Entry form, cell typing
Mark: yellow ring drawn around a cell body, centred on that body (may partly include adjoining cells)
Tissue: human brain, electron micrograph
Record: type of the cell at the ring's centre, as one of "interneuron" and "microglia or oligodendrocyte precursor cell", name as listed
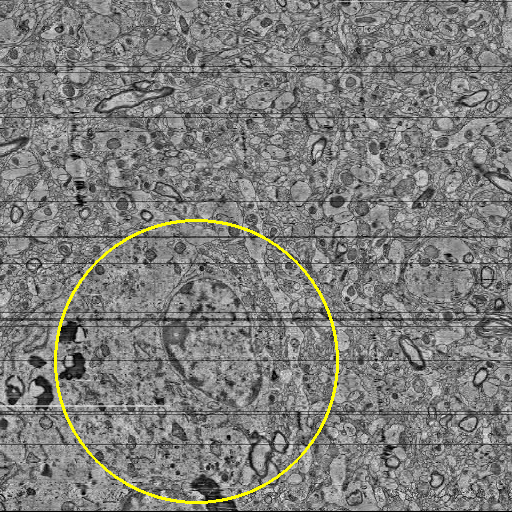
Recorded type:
microglia or oligodendrocyte precursor cell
